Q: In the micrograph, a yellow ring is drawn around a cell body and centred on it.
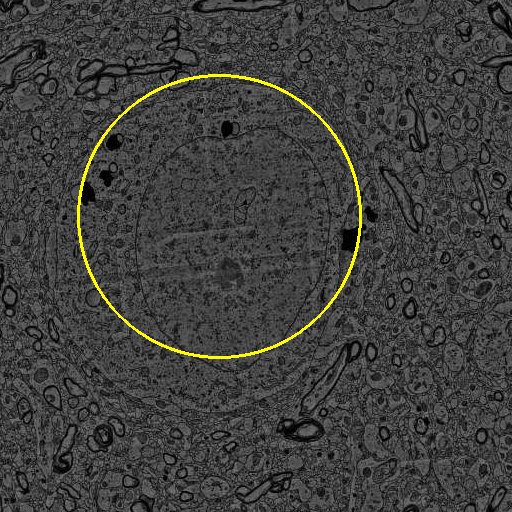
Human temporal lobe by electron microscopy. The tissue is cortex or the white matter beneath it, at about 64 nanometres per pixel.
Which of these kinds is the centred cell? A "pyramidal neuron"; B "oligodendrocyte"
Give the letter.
A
